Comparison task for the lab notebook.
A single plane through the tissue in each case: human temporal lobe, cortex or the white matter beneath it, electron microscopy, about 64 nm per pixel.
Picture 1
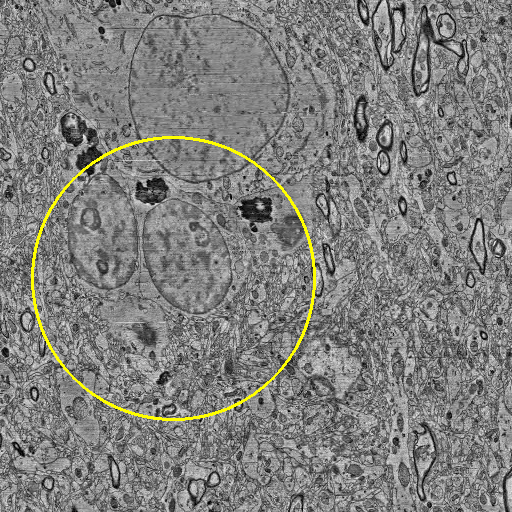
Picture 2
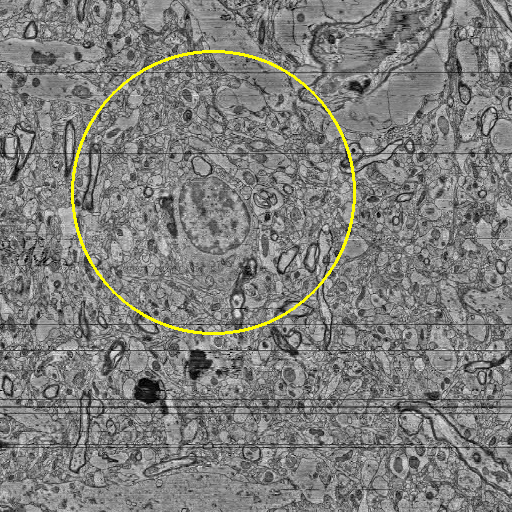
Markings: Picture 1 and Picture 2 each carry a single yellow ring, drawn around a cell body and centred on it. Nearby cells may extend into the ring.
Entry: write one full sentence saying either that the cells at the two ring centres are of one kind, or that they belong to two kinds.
The cells sitting at the ring centres in Picture 1 and Picture 2 are of one kind.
